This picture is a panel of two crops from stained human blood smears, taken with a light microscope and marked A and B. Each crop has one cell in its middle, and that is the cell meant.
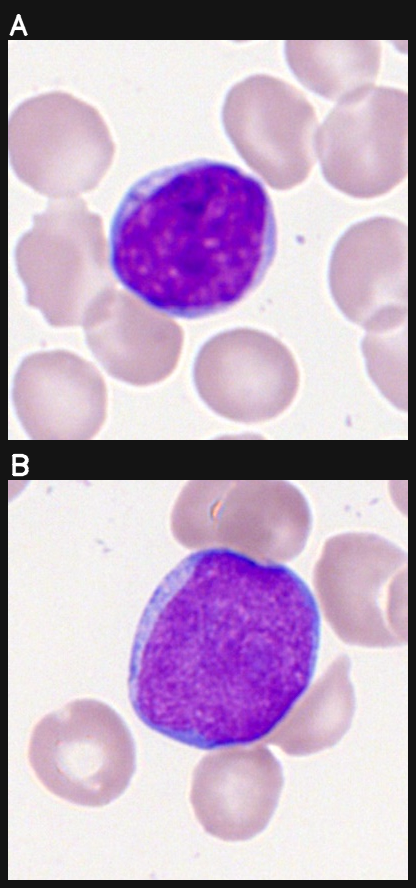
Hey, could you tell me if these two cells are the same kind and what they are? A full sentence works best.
No, crop A captures a lymphocyte, and crop B captures a myeloblast.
